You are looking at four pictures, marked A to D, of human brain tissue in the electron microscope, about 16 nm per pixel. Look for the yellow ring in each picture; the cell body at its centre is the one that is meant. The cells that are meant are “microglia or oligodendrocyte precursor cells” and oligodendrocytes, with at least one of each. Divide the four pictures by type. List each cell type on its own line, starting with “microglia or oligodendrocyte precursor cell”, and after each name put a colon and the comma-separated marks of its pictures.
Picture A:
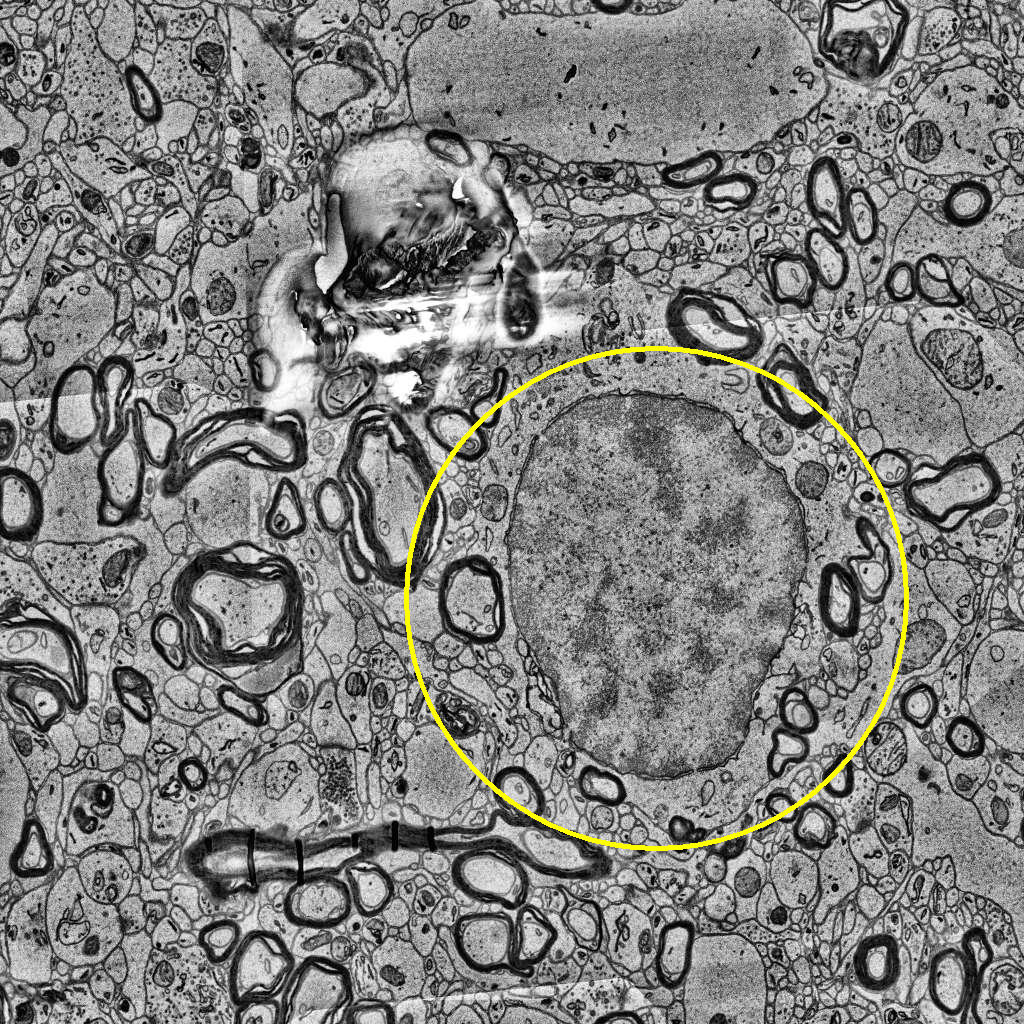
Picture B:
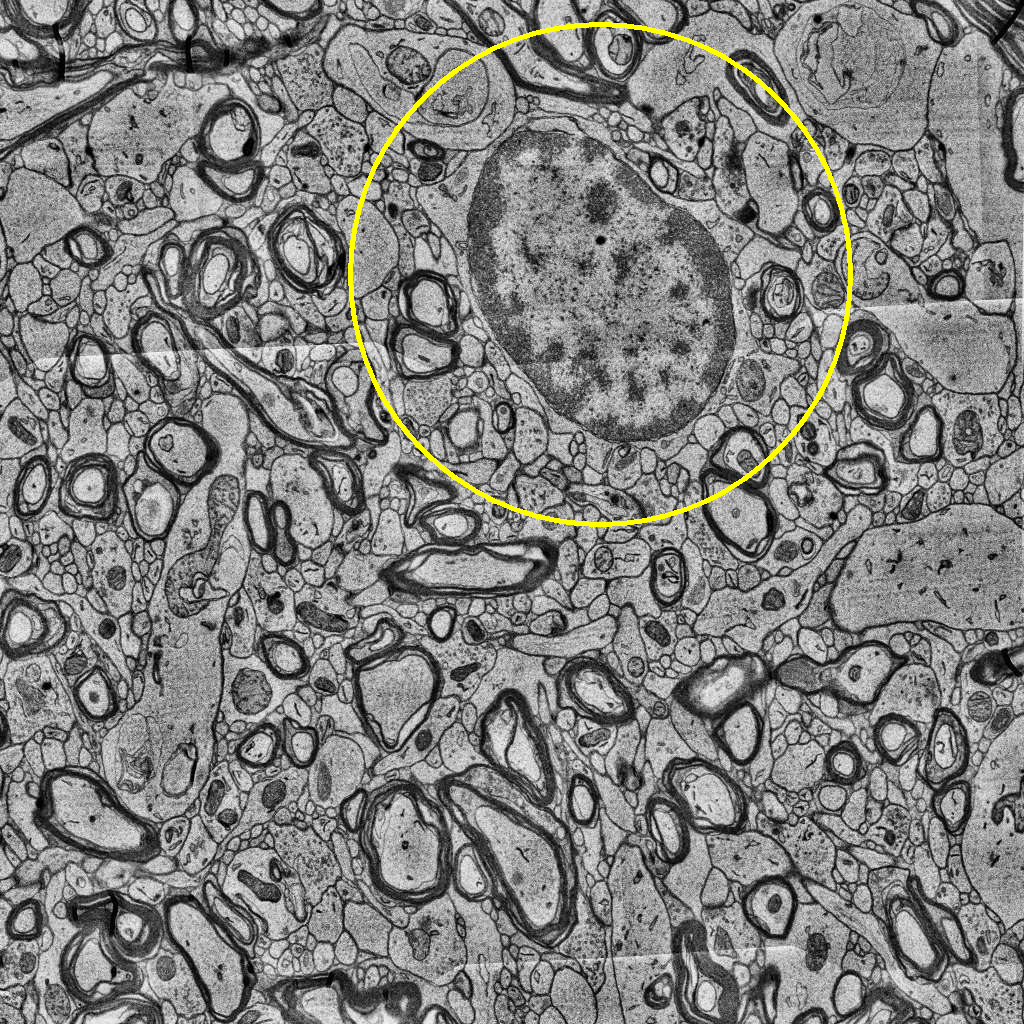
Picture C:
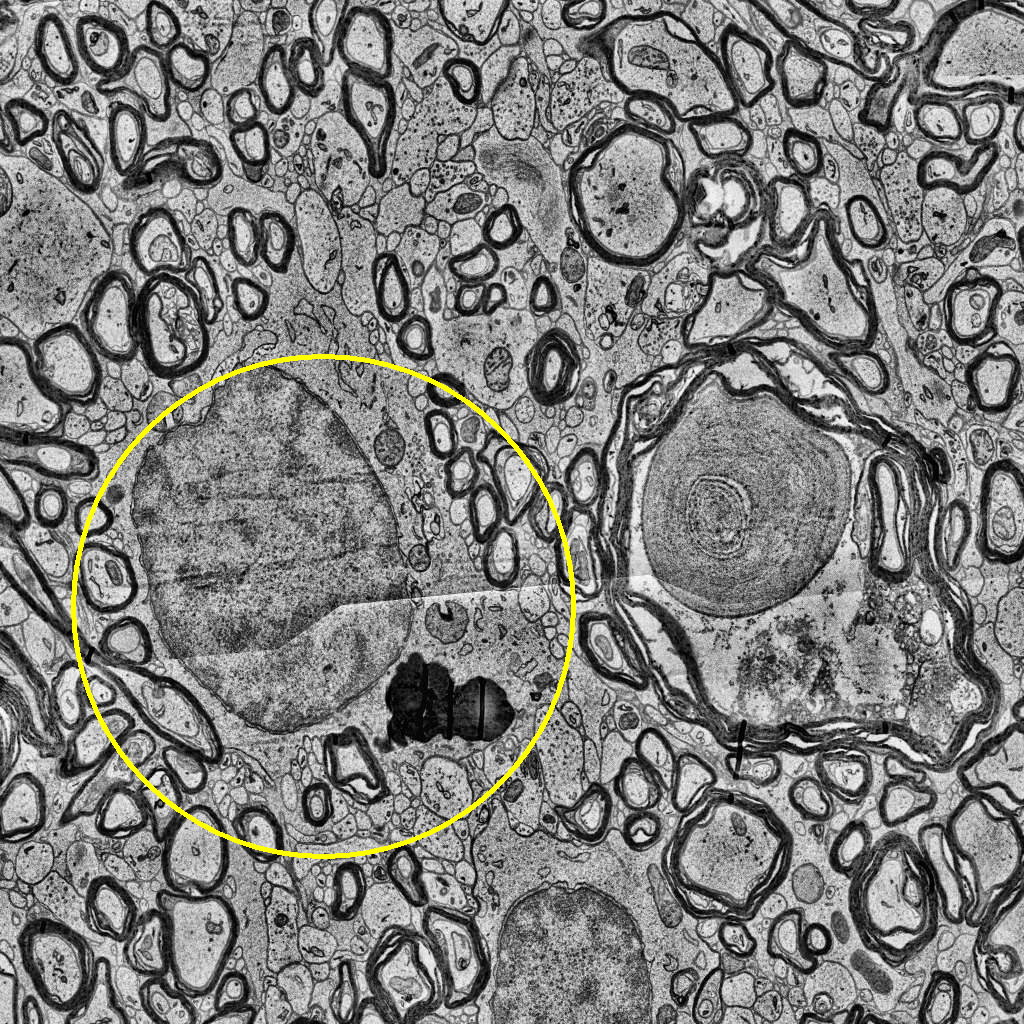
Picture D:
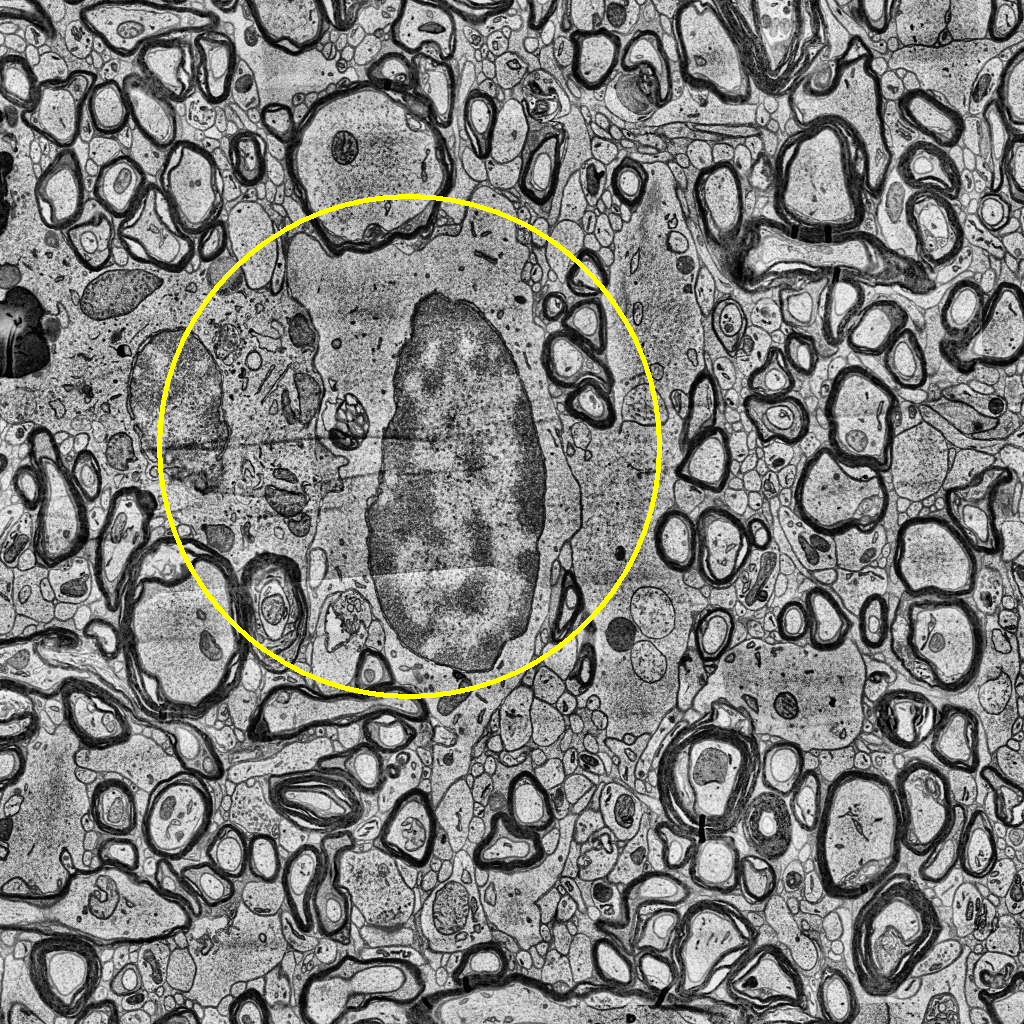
microglia or oligodendrocyte precursor cell: B, D
oligodendrocyte: A, C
